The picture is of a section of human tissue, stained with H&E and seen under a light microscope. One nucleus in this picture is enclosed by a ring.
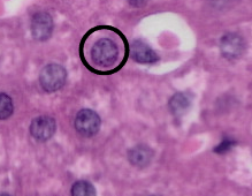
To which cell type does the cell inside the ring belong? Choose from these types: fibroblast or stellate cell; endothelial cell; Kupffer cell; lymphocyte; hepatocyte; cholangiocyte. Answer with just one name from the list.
hepatocyte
